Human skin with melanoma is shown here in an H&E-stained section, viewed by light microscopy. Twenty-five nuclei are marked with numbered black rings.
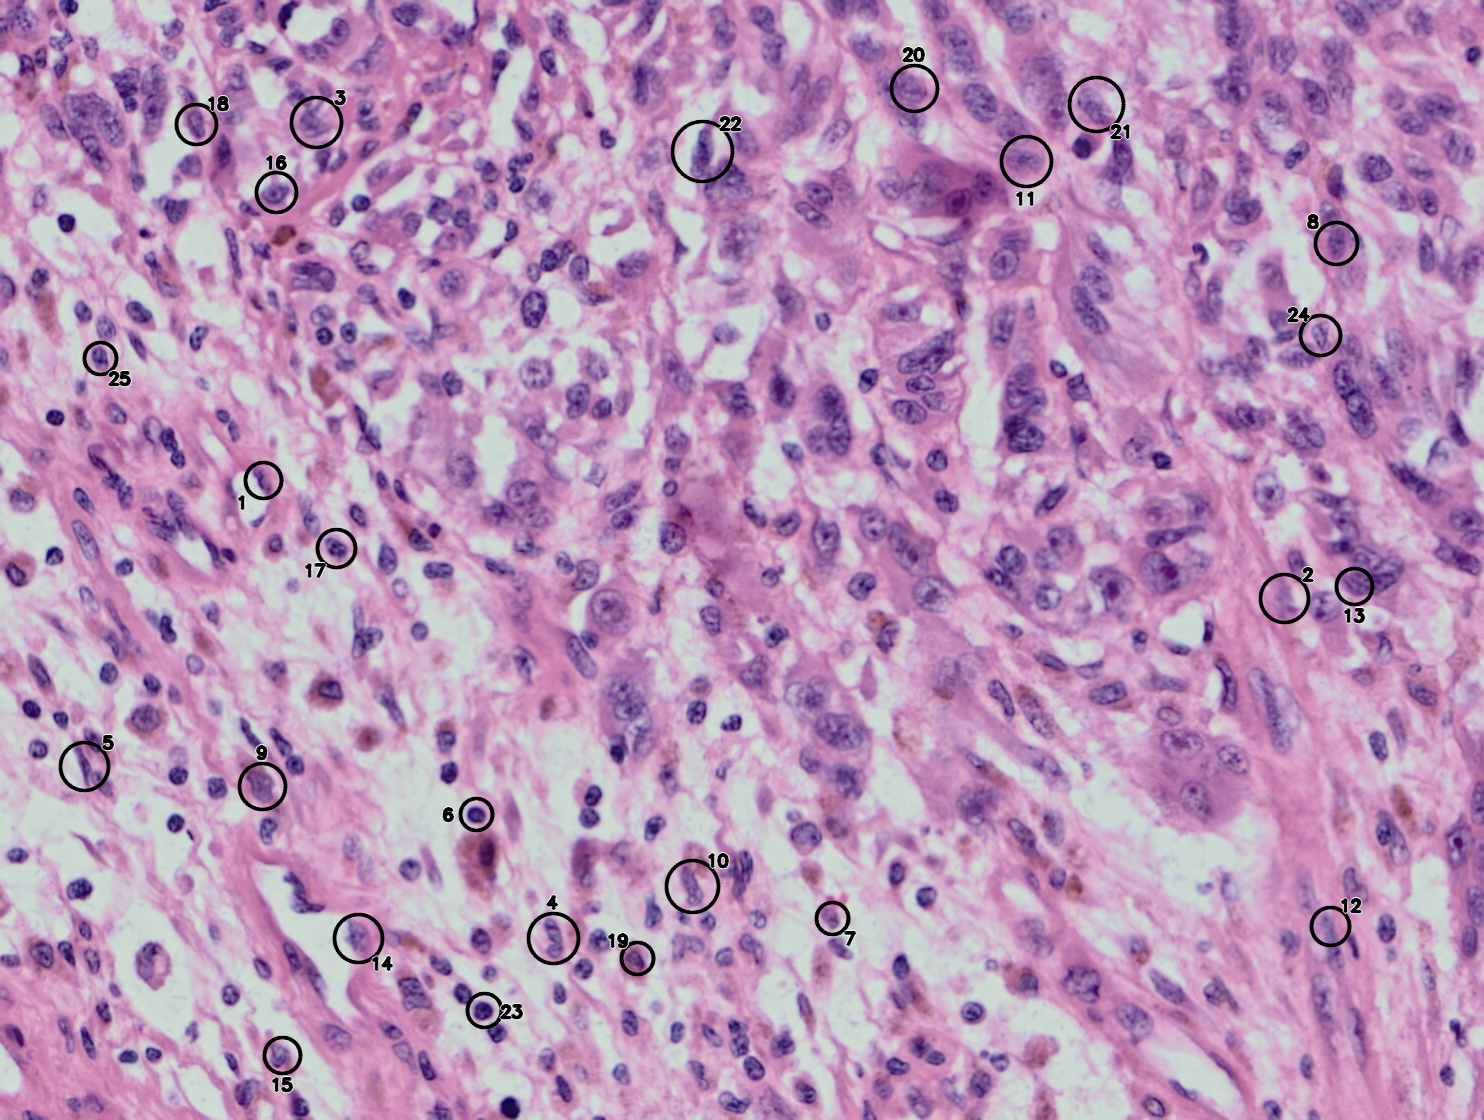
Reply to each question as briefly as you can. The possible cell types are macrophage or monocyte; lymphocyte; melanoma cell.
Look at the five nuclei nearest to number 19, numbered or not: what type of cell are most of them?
lymphocyte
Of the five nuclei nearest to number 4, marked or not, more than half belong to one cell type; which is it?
lymphocyte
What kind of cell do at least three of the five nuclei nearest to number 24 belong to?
melanoma cell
